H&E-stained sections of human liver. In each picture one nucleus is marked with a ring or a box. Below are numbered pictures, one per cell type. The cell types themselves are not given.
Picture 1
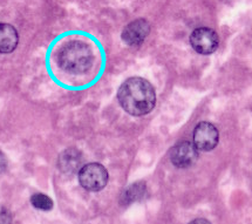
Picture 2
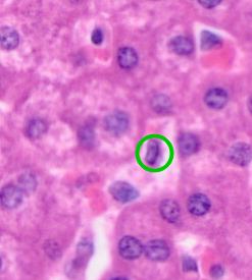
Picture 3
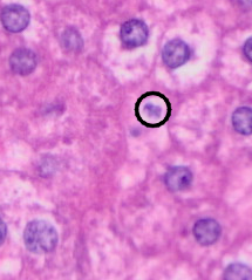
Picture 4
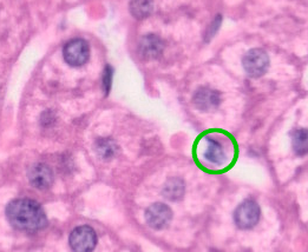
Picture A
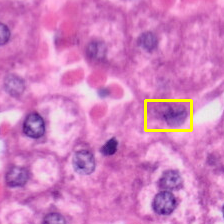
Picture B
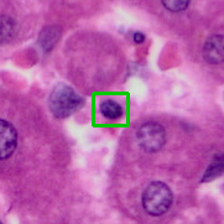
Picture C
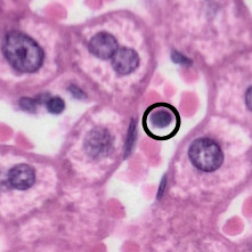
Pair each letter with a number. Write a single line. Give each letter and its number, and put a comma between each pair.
A 2, B 3, C 3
